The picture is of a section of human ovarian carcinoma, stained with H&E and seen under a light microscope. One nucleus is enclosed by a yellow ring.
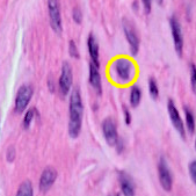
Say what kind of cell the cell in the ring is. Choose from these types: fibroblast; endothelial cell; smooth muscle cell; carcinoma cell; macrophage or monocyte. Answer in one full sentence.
Among the cells in this section, the cell in the ring is a smooth muscle cell.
